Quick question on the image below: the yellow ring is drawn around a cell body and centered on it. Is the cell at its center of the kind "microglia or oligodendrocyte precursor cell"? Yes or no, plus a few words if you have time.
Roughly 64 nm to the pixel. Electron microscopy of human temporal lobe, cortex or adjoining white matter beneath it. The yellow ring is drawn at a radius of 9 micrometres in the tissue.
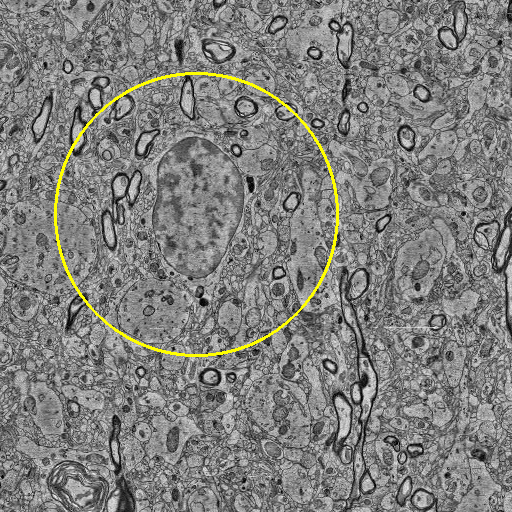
Yes, the cell at the center is of that kind.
